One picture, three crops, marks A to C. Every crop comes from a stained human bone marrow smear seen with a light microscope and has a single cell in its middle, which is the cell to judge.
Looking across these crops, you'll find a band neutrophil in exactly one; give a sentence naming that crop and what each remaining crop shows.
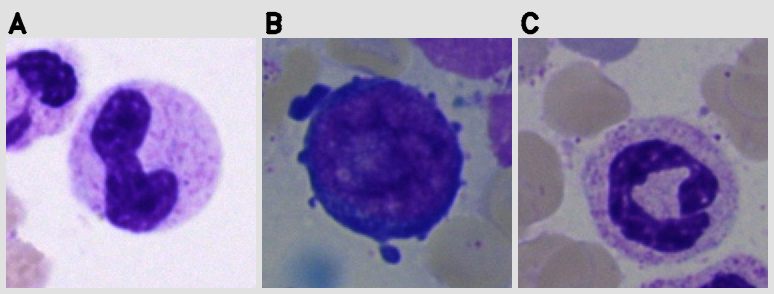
In crop A, a band neutrophil is the cell shown, while crop B is a proerythroblast and crop C is a segmented neutrophil.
